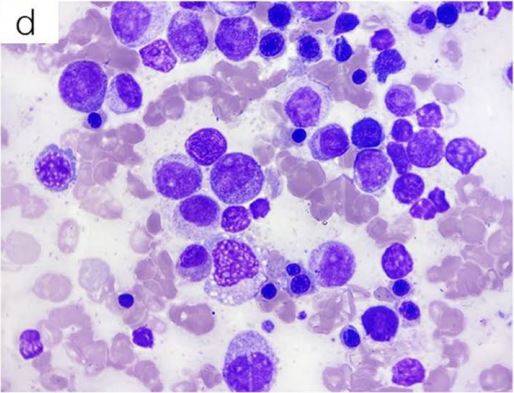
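Clusters of large immature cells lie among pink red cells. Many have round to oval purple nuclei with fine chromatin and a rim of grey-blue cytoplasm, some speckled with purple granules, fitting myeloid precursors. Small cells with very dark, round, dense nuclei are scattered between them, like late erythroblasts. Some cytoplasm looks frothy with tiny pale holes. Overall this is a marrow rich in granulocytic precursors with scattered erythroid cells and vacuolated cytoplasm in some precursors.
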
